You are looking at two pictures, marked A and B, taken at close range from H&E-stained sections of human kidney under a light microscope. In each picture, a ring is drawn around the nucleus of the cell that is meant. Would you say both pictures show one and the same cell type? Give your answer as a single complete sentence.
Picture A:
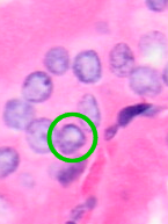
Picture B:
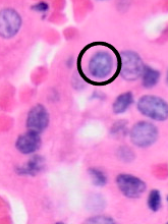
Yes; the cells in both pictures are collecting duct cells.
